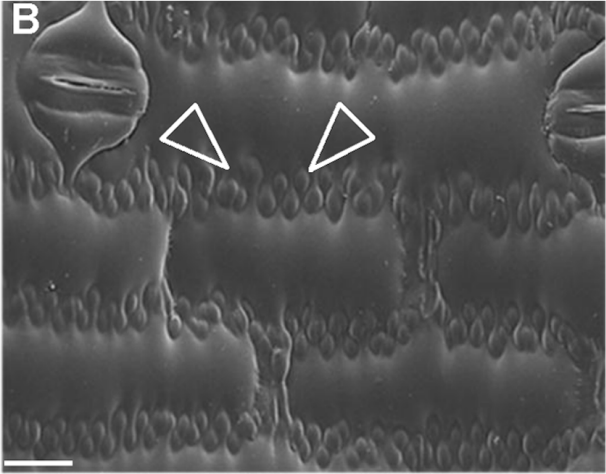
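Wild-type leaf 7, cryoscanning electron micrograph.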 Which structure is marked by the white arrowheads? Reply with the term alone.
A: epidermal lobing pattern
